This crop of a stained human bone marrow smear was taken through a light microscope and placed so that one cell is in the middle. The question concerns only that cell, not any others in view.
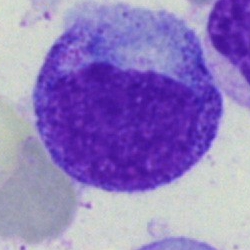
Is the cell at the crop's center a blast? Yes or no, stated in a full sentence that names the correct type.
No, the cell located centrally is a promyelocyte rather than a blast.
